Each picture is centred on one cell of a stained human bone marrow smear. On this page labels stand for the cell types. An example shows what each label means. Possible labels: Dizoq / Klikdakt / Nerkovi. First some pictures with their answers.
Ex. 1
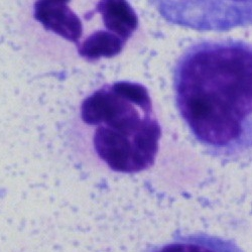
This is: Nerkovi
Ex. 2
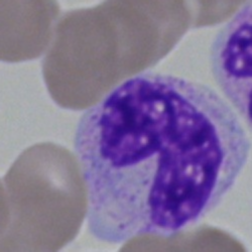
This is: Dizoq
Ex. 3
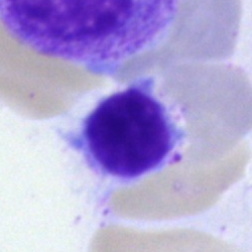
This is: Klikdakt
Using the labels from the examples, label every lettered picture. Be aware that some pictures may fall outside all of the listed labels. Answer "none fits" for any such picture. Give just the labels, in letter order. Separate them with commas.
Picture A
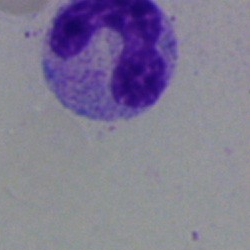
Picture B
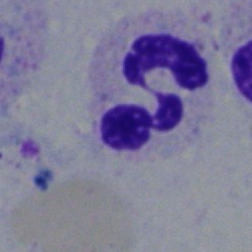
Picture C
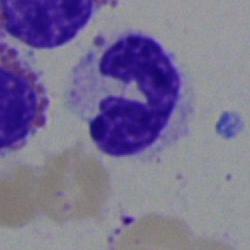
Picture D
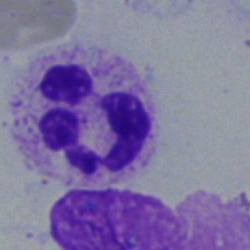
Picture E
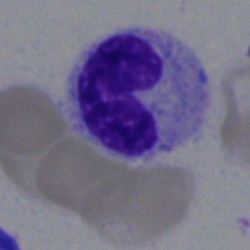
Nerkovi, Nerkovi, Dizoq, Nerkovi, Dizoq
